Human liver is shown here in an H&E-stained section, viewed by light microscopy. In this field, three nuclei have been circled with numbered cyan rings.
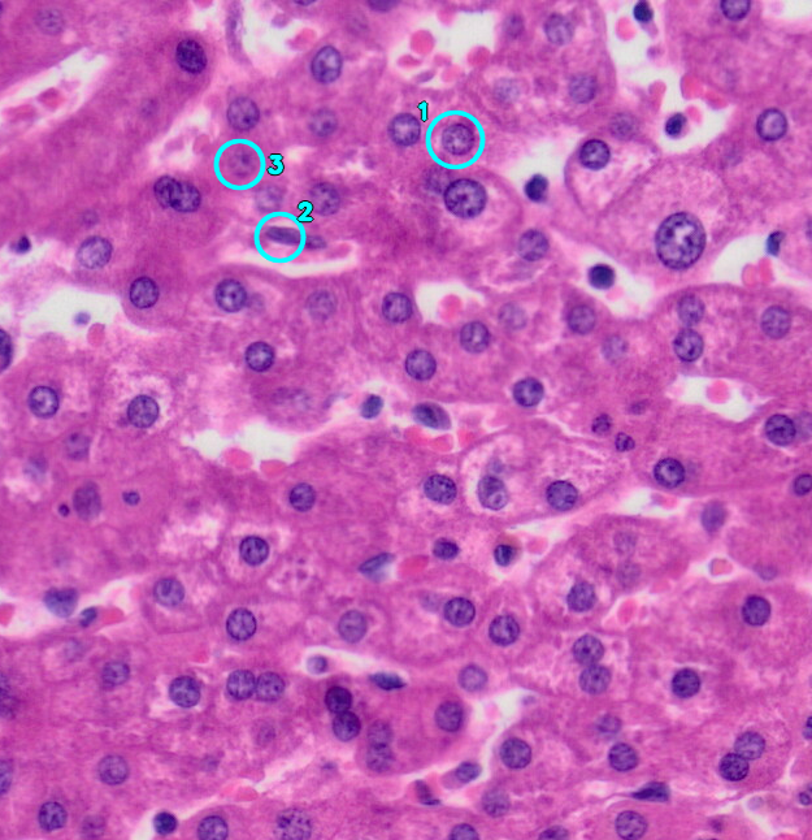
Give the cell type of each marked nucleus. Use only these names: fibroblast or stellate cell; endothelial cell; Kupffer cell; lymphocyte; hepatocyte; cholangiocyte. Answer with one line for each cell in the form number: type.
1: hepatocyte
2: Kupffer cell
3: hepatocyte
